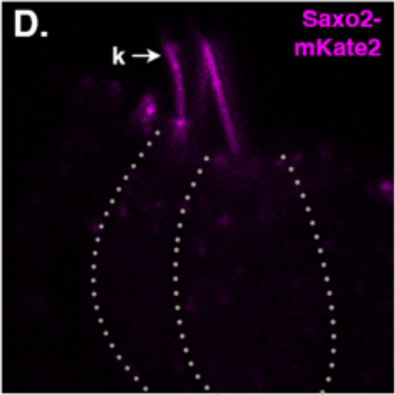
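Two slender magenta rods project upward from the apical ends of neighbouring cells whose approximate outlines are traced by white dotted lines. The outlined cells are elongated and pear-shaped, narrowing toward the apical surface, and their bodies are only faintly magenta with a few scattered dots.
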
